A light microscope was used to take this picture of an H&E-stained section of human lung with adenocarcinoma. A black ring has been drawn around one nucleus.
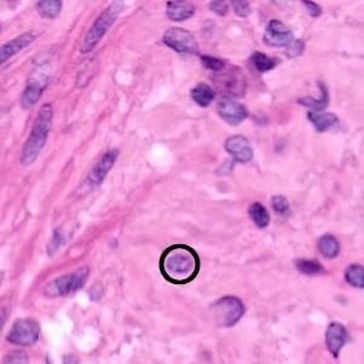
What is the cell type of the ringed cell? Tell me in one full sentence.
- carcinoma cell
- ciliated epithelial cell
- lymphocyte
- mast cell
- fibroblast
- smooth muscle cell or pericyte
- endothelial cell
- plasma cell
The cell type represented by the ringed cell is that of a mast cell.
